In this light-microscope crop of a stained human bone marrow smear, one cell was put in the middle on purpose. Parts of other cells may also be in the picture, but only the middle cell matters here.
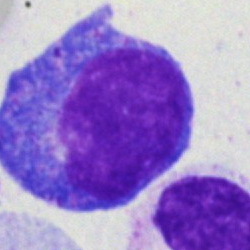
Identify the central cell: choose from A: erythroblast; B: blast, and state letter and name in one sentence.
Option B, which names the central cell as a blast, is correct.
